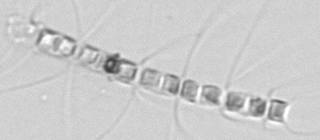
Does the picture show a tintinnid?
No, it shows Chaetoceros.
